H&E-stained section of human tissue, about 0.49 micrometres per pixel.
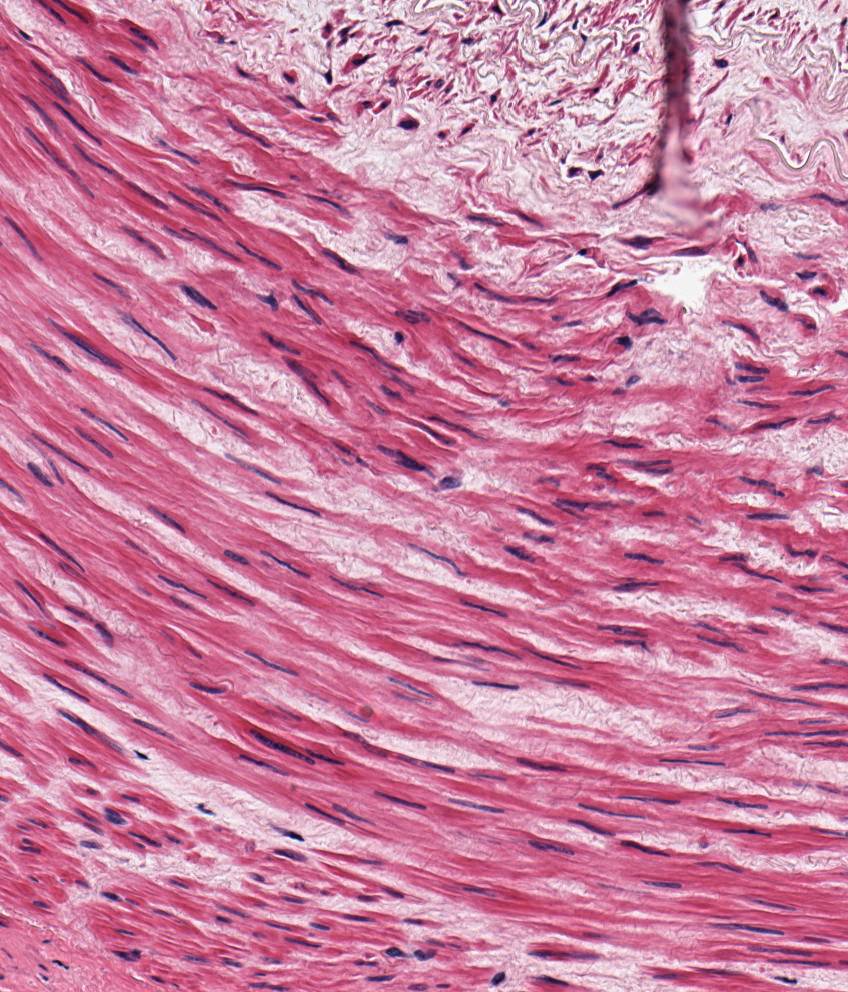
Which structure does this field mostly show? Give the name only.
tunica media of an artery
